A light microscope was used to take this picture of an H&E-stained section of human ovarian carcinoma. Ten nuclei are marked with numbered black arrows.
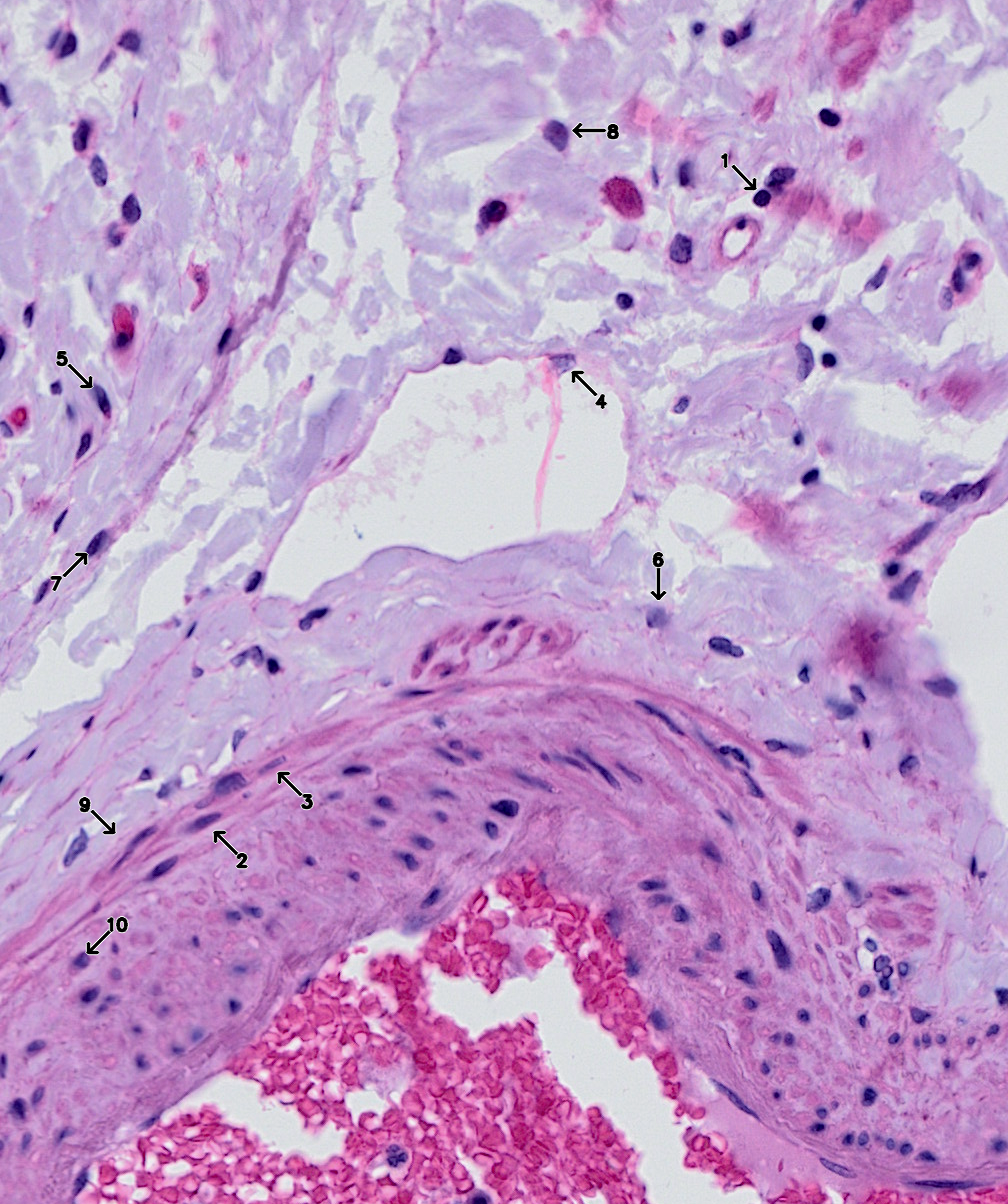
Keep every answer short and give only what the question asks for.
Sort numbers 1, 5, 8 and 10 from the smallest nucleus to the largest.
10, 1, 5, 8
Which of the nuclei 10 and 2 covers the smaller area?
10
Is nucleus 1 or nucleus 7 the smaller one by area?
1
